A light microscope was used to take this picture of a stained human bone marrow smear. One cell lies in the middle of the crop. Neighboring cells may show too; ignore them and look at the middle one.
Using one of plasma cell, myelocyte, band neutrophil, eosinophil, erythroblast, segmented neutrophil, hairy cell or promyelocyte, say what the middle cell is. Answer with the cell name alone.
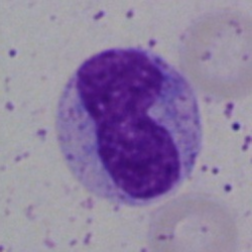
band neutrophil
